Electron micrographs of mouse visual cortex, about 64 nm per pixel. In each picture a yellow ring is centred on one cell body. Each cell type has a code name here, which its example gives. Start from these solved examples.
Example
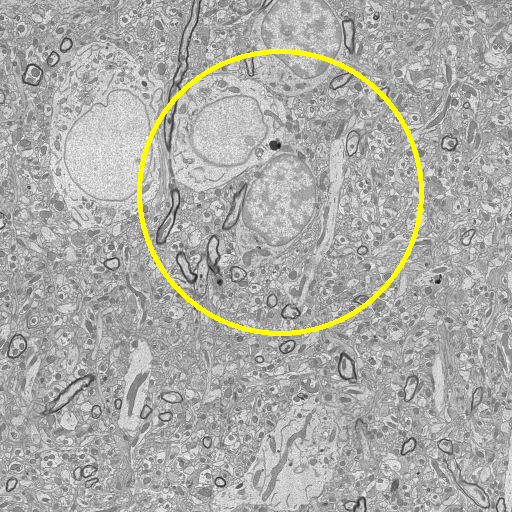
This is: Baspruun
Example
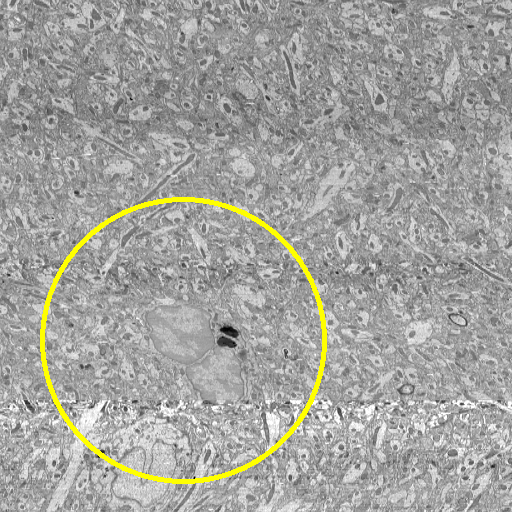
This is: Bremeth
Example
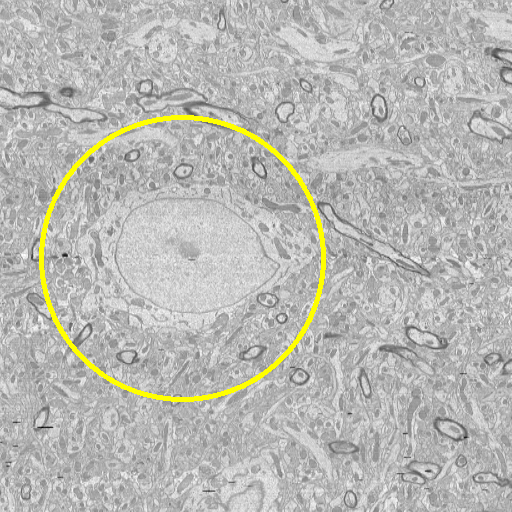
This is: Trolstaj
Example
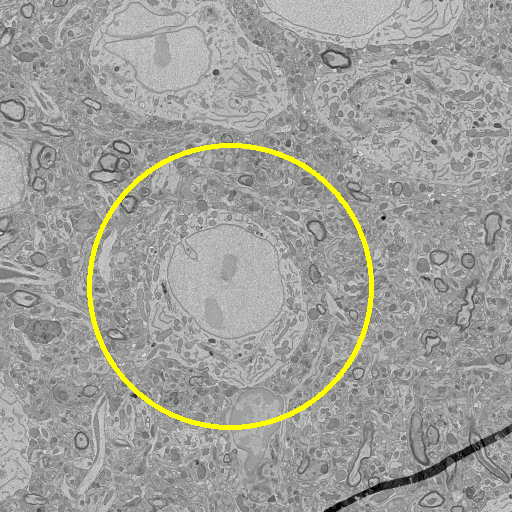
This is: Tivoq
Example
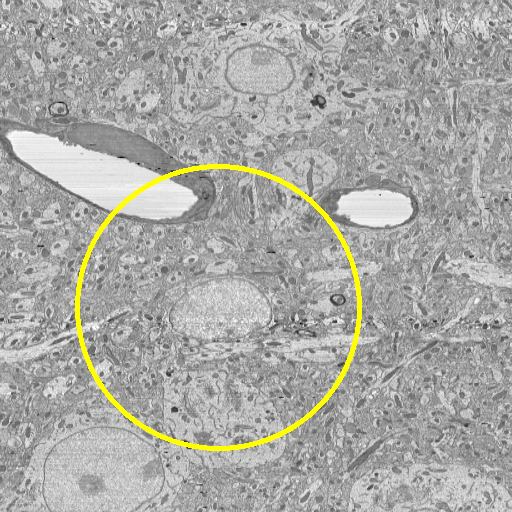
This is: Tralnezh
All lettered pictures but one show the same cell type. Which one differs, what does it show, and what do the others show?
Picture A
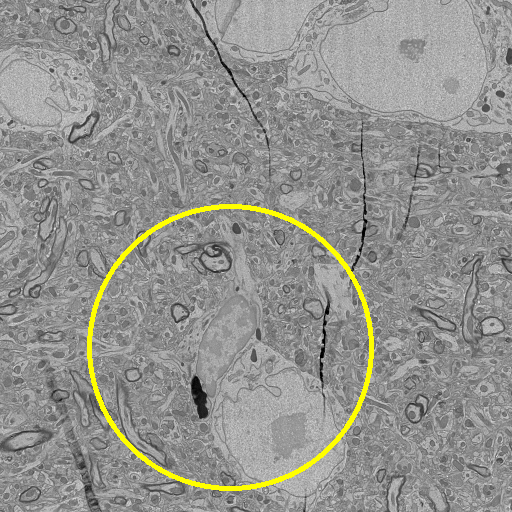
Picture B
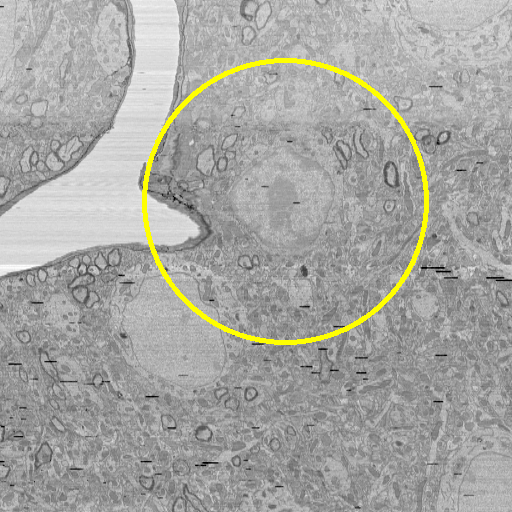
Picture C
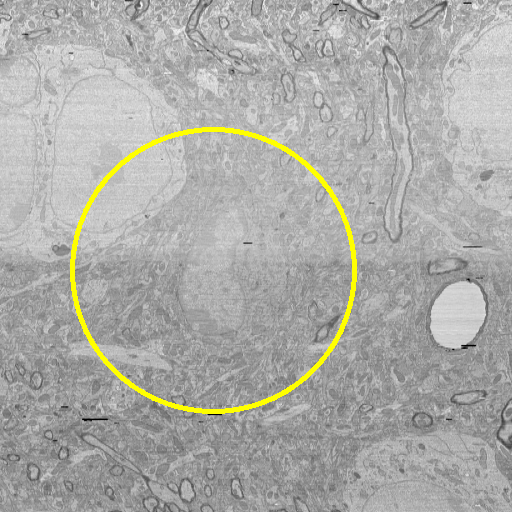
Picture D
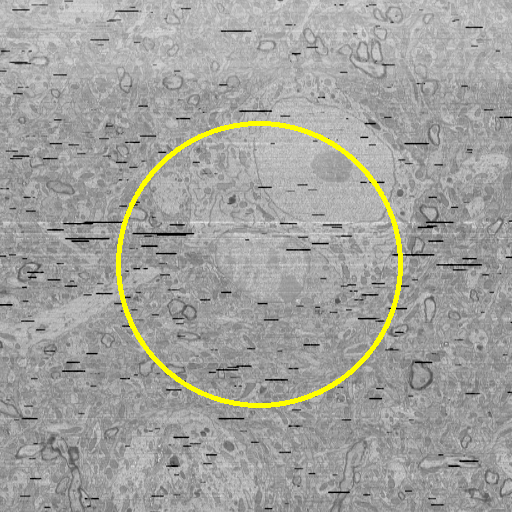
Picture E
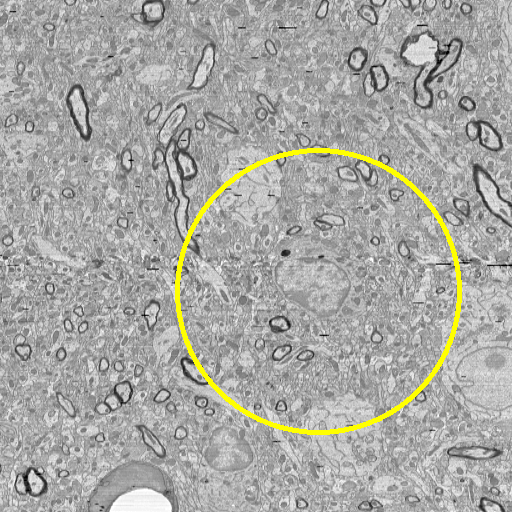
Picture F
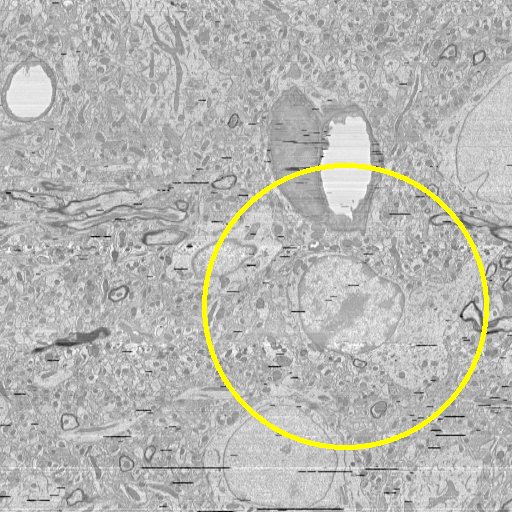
Different: A, Bremeth. Others: Baspruun.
